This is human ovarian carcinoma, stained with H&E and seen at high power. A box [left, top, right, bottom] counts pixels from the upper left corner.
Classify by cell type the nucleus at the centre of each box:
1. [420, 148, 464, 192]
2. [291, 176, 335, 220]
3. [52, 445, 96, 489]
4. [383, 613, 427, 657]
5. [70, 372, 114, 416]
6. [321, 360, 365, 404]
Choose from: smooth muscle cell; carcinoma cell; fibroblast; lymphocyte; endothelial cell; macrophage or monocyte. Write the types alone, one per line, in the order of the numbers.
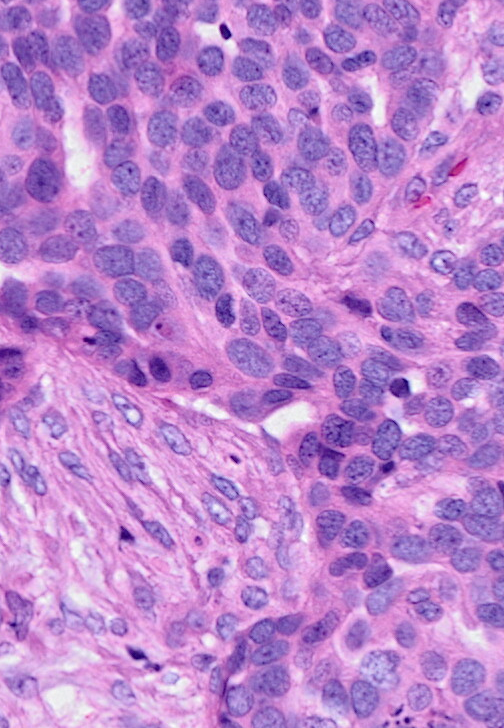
endothelial cell
carcinoma cell
fibroblast
carcinoma cell
fibroblast
carcinoma cell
